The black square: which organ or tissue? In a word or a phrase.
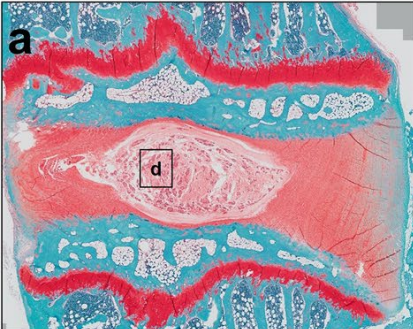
Nucleus pulposus.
